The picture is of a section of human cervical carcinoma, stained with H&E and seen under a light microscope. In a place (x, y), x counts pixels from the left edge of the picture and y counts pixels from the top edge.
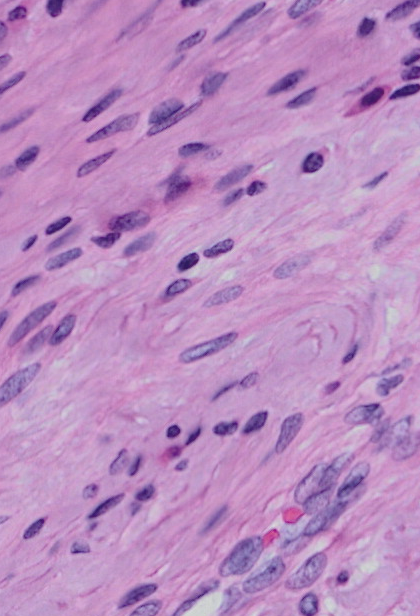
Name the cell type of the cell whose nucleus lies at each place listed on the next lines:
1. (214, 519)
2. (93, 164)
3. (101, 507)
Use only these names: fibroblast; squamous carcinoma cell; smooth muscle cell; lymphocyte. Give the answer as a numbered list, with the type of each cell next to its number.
1. smooth muscle cell
2. fibroblast
3. fibroblast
